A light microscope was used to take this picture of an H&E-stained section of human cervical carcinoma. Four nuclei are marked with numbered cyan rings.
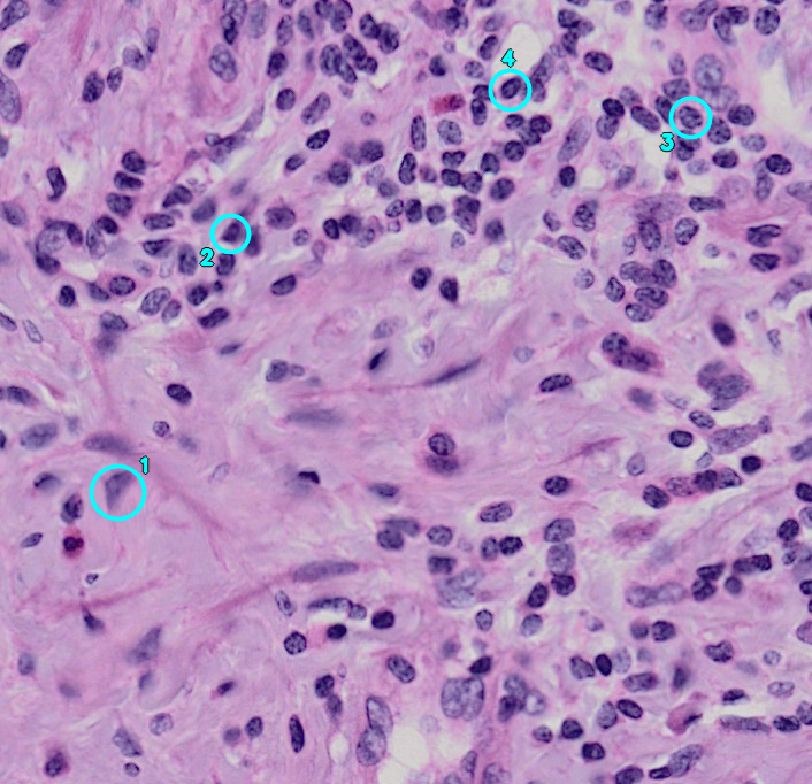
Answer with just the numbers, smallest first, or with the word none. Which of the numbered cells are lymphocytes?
2, 3, 4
